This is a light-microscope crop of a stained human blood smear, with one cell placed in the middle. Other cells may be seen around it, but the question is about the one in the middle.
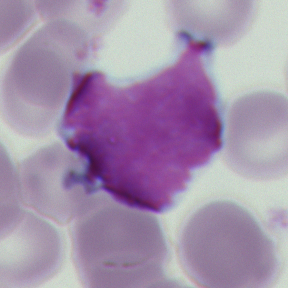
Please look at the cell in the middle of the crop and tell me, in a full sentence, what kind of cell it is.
The centered cell in this crop is a lymphocyte.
